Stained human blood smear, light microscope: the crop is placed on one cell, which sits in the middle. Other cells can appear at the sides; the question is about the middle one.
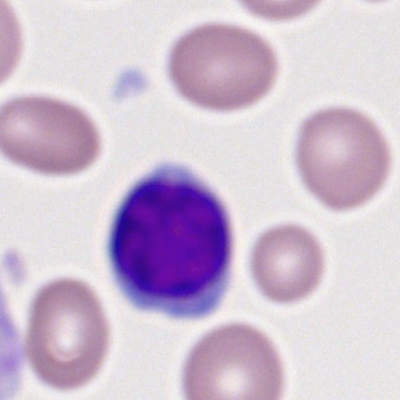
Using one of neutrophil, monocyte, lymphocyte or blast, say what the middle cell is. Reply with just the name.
lymphocyte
